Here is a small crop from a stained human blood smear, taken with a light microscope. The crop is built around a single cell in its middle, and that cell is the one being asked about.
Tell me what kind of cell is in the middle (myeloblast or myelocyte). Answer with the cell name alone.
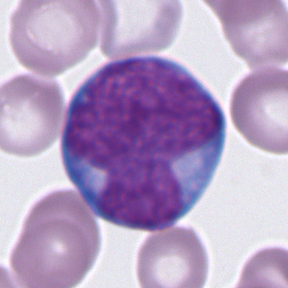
myeloblast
